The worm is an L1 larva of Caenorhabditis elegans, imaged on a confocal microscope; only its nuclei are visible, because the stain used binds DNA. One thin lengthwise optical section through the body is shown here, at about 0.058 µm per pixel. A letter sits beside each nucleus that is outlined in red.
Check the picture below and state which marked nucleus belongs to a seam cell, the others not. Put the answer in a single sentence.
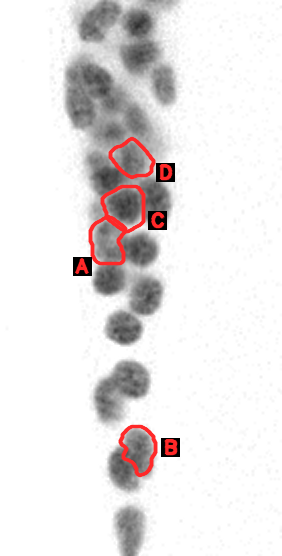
A is the nucleus of a seam cell.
